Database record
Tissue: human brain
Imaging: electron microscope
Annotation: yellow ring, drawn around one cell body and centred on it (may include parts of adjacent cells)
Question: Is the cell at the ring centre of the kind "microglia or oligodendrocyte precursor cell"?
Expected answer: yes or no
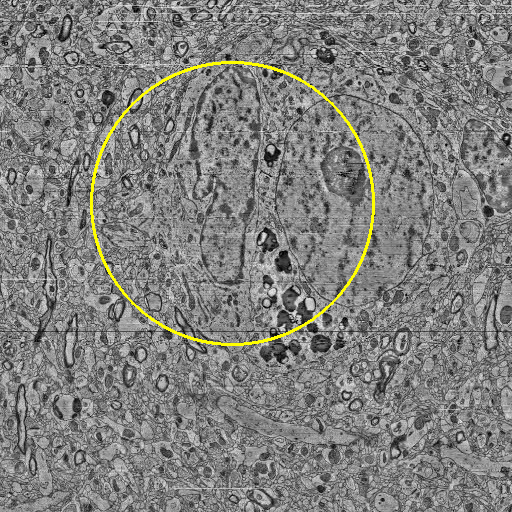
yes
